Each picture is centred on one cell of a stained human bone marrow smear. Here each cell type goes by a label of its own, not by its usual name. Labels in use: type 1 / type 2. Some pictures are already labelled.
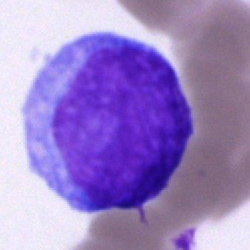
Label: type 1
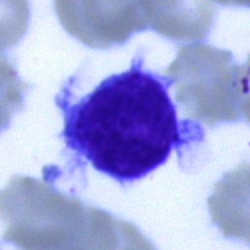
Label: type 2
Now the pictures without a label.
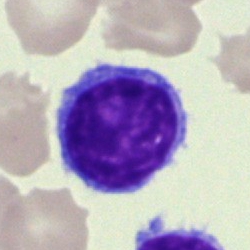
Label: type 2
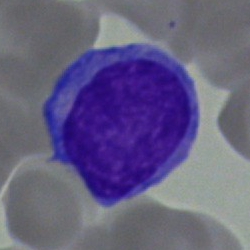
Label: type 1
